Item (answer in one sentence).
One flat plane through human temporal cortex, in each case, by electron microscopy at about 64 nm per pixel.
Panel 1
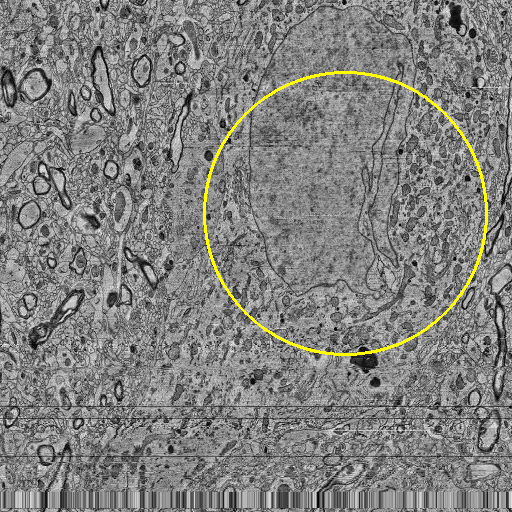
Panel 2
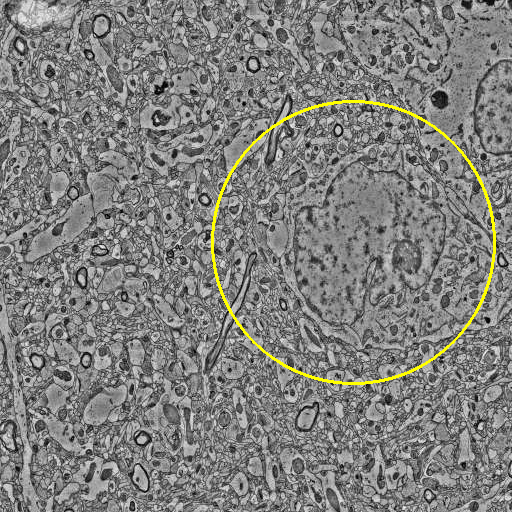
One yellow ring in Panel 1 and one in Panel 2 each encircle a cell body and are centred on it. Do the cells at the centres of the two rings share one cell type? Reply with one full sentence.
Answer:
No, Panel 1 and Panel 2 show cells of two types at the centres of their rings.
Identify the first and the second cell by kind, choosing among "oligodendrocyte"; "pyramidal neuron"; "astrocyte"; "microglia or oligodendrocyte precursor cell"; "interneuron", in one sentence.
The one in the first picture is a pyramidal neuron, while the one in the second is an interneuron.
